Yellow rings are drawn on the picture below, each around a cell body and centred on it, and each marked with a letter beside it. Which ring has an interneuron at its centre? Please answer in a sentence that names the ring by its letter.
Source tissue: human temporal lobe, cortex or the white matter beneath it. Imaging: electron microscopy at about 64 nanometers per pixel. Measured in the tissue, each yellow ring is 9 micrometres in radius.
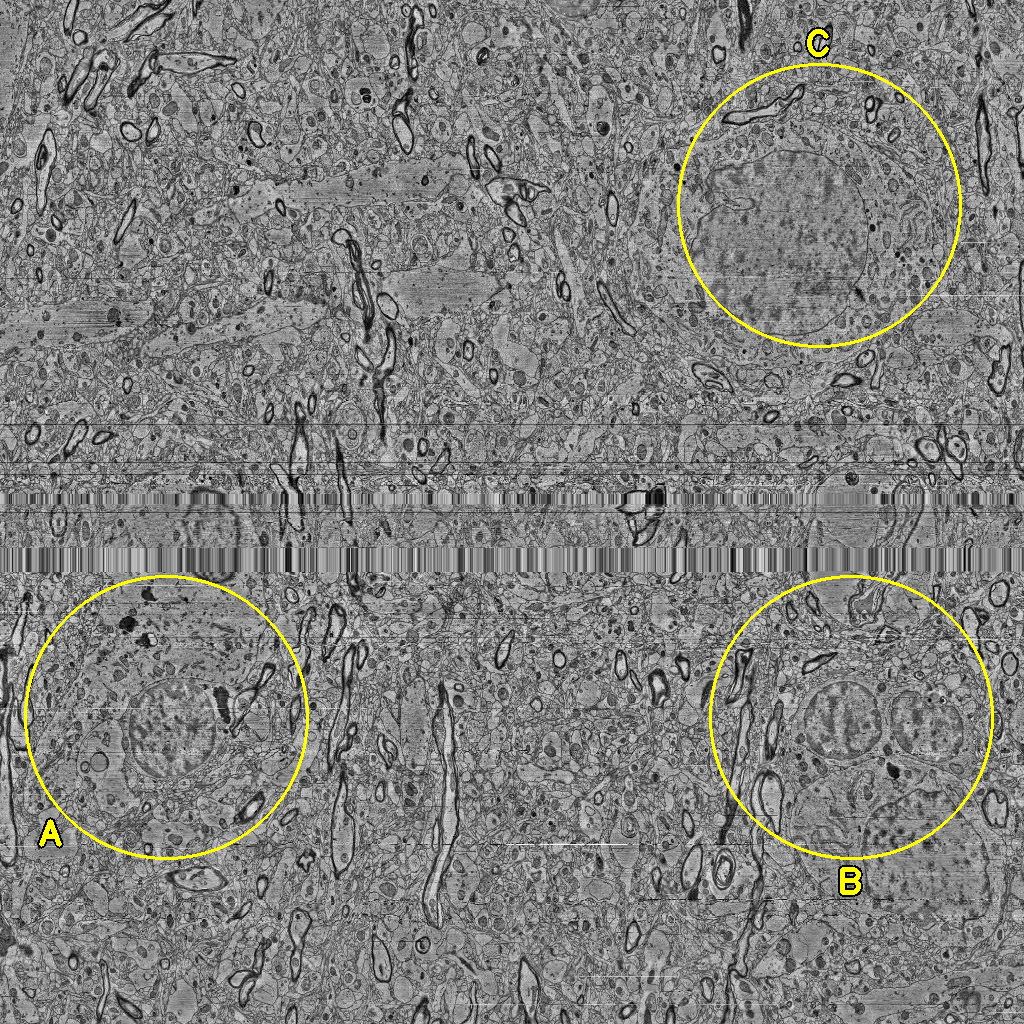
That is ring C.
